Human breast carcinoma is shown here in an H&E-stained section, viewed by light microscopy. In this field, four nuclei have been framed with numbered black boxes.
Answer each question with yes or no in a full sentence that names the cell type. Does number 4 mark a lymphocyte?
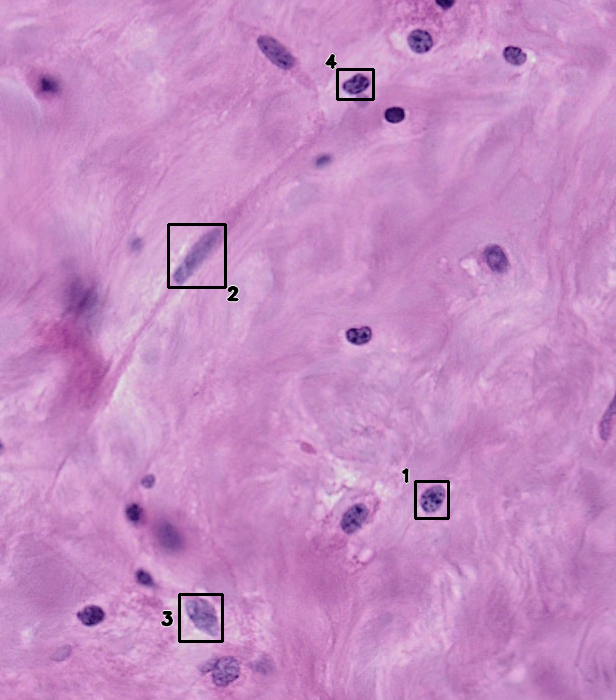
Yes, cell number 4 is classified as a lymphocyte.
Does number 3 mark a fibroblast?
Yes, the cell tagged with number 3 is a fibroblast.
